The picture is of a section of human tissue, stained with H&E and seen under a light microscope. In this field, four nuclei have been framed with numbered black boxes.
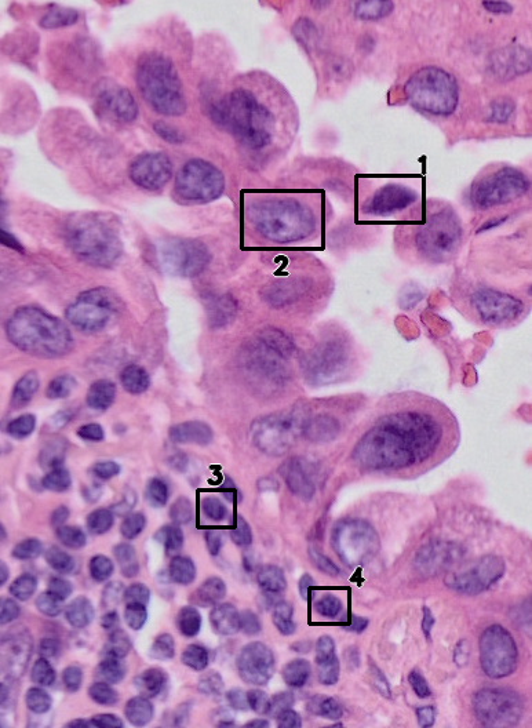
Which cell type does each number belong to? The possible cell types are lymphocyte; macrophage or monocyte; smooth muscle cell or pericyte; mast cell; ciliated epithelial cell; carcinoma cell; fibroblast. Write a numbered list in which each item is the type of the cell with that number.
1. carcinoma cell
2. carcinoma cell
3. lymphocyte
4. lymphocyte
